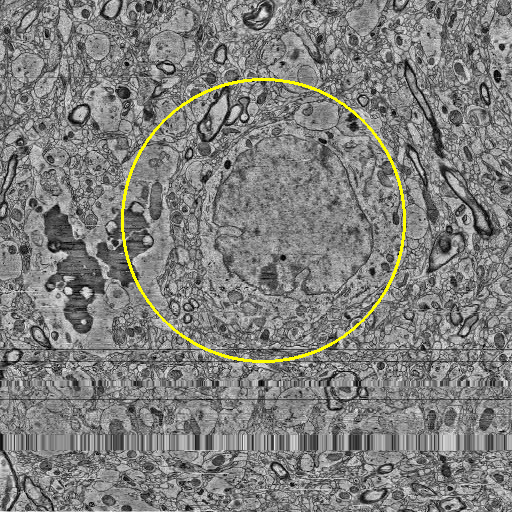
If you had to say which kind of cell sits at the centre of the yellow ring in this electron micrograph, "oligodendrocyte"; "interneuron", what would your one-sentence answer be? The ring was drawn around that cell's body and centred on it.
The cell sitting at the centre of the ring is an interneuron.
